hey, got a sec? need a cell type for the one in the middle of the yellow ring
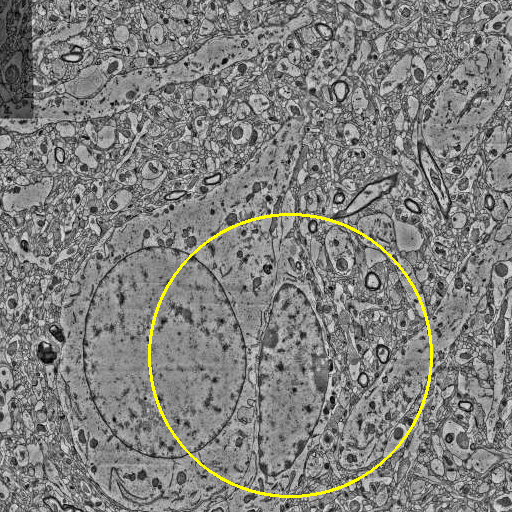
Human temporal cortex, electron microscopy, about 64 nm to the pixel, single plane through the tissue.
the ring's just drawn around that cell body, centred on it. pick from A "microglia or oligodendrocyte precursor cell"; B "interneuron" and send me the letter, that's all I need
A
